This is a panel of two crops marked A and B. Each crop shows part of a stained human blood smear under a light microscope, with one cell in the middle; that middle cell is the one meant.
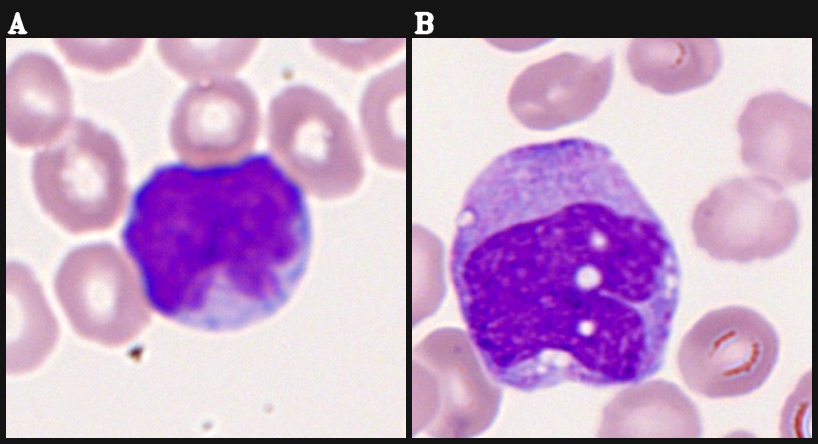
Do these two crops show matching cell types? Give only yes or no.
no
